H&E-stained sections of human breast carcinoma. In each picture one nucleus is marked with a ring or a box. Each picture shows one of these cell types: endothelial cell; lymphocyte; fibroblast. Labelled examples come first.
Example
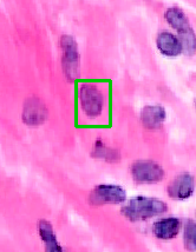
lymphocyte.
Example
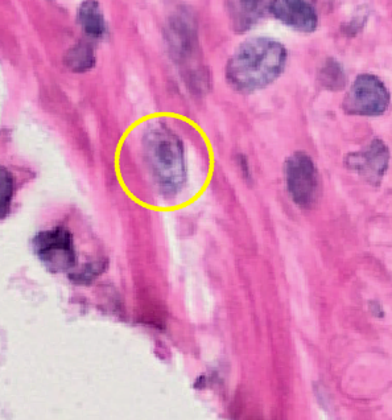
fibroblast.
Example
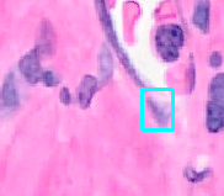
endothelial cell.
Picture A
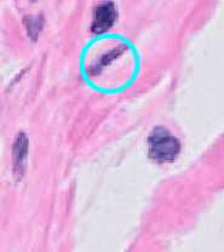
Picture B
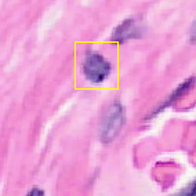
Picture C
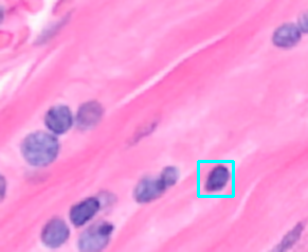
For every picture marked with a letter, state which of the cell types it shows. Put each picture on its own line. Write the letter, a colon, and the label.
A: fibroblast.
B: lymphocyte.
C: lymphocyte.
